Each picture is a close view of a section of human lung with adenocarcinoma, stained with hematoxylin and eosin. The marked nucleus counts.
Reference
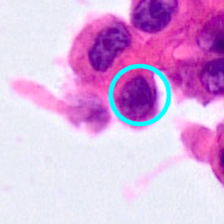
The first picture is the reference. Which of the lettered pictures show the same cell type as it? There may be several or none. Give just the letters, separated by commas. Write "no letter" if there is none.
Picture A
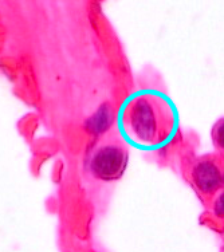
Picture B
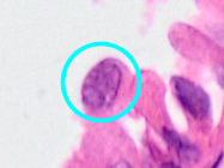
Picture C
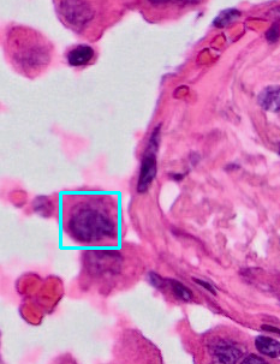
B, C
